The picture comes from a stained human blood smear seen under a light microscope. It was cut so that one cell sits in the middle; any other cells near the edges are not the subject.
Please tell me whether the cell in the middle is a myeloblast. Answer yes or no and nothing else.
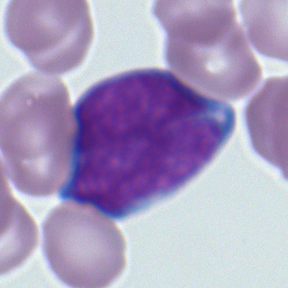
yes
